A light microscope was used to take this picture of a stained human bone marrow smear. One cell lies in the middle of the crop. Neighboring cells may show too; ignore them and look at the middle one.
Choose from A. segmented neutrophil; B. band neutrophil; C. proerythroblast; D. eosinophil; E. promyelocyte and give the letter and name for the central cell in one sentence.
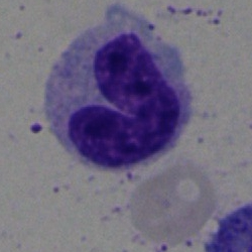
Option B stands as correct, the central cell being a band neutrophil.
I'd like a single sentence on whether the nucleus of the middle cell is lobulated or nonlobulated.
Two or more lobes make up the nucleus of this cell.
